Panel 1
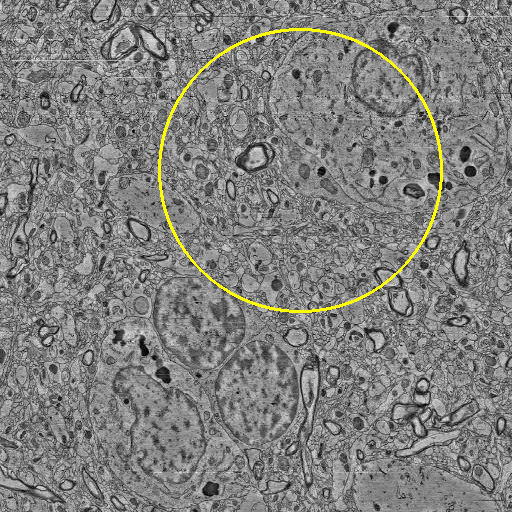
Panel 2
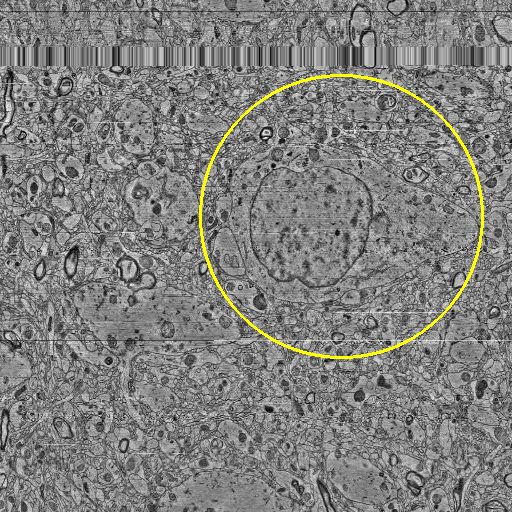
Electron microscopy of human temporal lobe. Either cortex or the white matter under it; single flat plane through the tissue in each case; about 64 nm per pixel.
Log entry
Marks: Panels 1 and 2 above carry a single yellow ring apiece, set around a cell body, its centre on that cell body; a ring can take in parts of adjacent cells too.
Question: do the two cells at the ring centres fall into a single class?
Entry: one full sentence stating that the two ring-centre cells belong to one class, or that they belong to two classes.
The two ring-centre cells in Panels 1 and 2 belong to two classes.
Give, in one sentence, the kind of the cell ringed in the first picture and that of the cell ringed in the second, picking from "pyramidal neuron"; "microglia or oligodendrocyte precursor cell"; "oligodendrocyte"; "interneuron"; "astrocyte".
For the first picture it is an oligodendrocyte; for the second, a pyramidal neuron.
